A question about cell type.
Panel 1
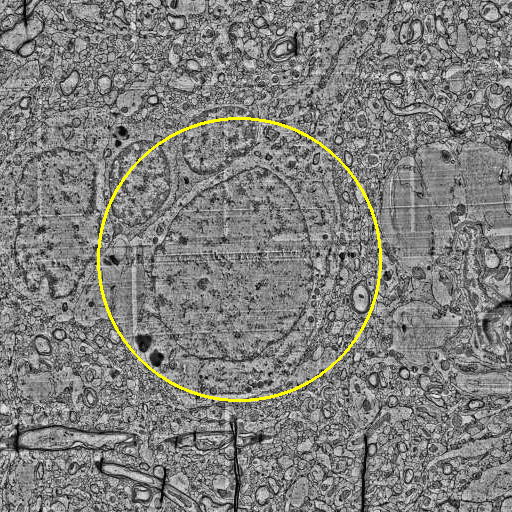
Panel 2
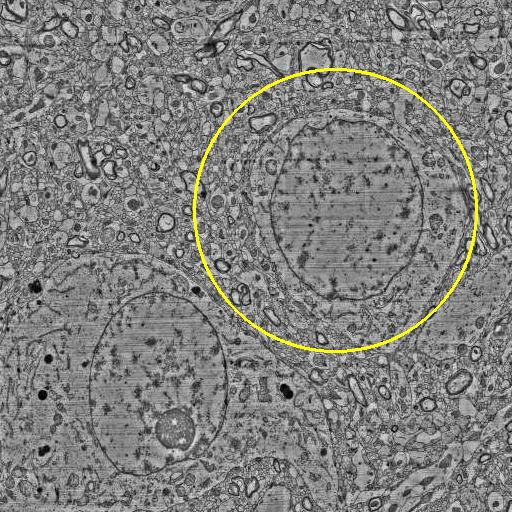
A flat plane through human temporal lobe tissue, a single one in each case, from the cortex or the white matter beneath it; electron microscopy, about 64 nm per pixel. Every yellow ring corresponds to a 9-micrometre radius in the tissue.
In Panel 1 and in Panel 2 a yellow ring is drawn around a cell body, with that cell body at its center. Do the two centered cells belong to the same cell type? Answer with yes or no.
yes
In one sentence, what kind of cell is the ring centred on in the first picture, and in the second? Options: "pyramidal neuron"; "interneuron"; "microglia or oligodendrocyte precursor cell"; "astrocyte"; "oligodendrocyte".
Both pictures show a pyramidal neuron at the centre of the ring.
